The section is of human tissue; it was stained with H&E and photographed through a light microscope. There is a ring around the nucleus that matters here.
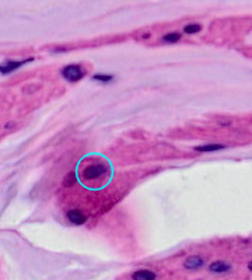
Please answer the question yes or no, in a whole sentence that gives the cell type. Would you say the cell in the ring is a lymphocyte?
No, that's not it; the cell in the ring is a smooth muscle cell rather than a lymphocyte.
